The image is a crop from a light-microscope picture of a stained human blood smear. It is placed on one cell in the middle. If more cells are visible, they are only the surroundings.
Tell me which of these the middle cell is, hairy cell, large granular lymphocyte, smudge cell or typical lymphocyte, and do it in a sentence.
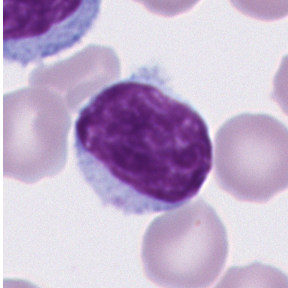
Occupying the centre of the crop is a typical lymphocyte.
